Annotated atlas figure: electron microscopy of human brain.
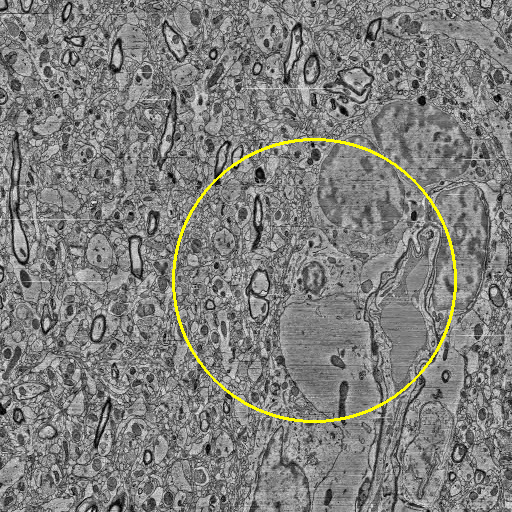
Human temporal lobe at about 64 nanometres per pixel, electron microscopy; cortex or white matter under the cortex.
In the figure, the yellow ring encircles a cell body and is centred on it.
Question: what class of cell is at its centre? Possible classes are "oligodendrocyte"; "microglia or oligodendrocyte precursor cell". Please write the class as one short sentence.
The yellow ring is drawn around a microglial cell or oligodendrocyte precursor cell.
